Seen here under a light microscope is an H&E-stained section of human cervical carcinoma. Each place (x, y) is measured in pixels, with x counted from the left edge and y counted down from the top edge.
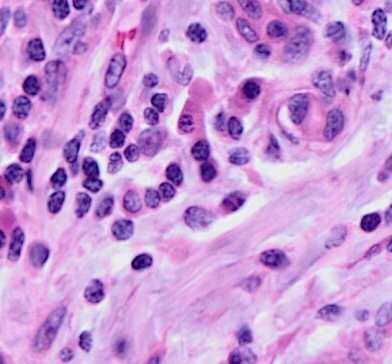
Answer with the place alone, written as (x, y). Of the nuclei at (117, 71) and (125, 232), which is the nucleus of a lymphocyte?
(125, 232)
